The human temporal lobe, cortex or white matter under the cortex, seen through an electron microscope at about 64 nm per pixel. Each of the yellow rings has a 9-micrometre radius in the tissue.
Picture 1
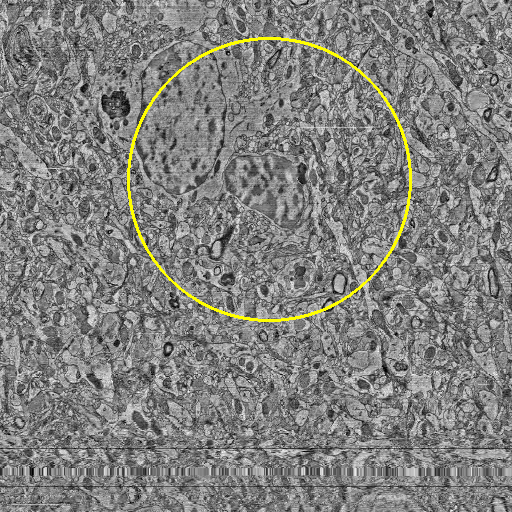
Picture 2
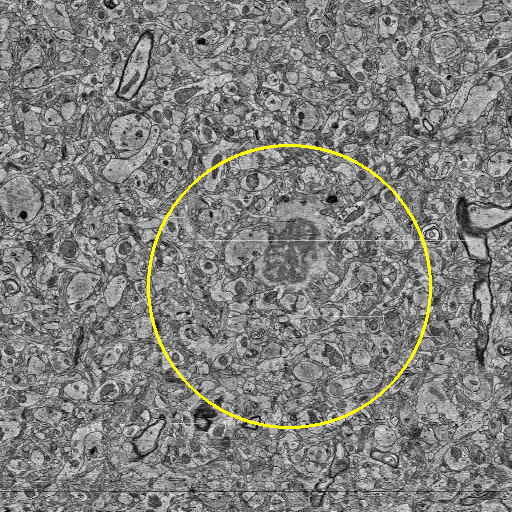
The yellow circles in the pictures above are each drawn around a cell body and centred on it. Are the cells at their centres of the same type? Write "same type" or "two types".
two types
